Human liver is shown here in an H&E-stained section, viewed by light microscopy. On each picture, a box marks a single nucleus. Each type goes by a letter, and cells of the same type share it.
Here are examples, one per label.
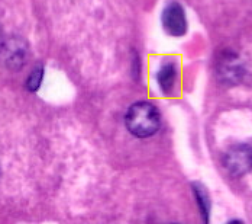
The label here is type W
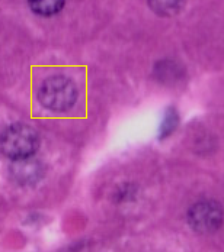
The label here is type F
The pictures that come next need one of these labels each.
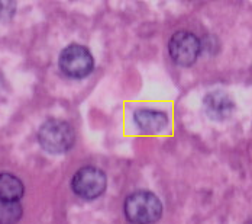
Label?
type W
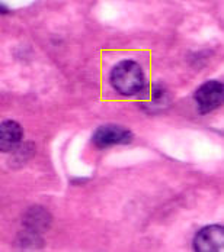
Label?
type F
